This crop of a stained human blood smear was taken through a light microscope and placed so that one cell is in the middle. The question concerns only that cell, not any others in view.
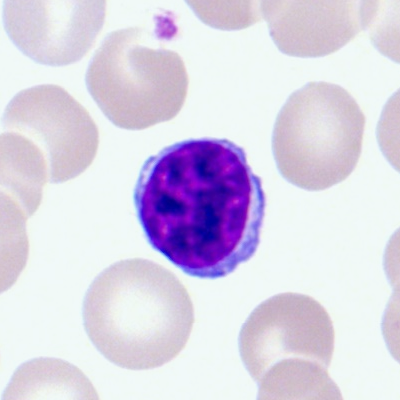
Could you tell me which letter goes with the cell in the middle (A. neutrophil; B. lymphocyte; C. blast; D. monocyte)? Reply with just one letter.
B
